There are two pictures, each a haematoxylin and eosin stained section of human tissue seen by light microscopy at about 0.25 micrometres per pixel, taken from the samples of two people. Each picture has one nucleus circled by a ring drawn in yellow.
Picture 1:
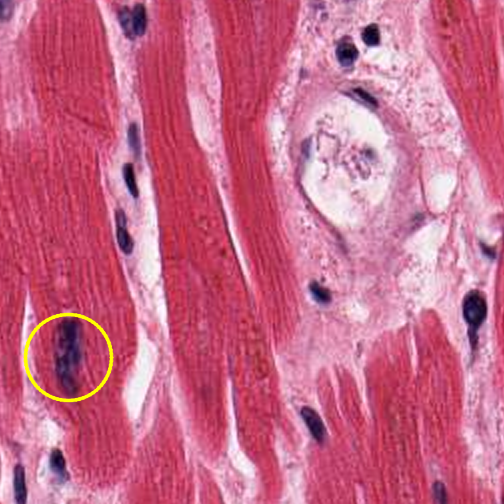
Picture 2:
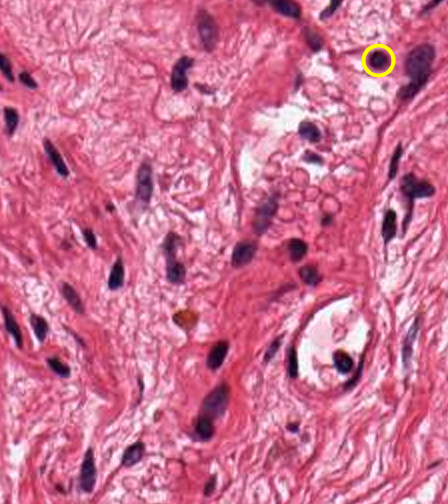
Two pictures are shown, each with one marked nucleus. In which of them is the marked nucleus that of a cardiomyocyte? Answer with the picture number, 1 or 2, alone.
1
